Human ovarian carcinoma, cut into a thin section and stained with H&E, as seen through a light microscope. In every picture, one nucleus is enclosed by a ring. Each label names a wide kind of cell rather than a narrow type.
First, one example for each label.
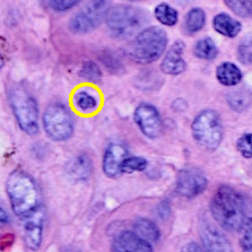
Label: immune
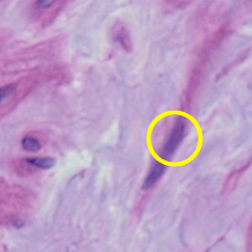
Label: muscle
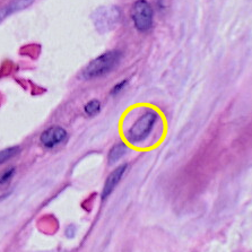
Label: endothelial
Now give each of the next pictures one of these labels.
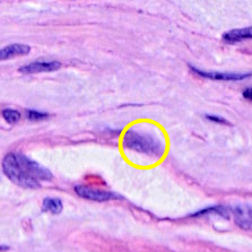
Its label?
endothelial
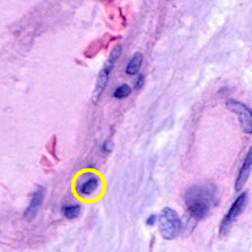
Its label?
muscle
